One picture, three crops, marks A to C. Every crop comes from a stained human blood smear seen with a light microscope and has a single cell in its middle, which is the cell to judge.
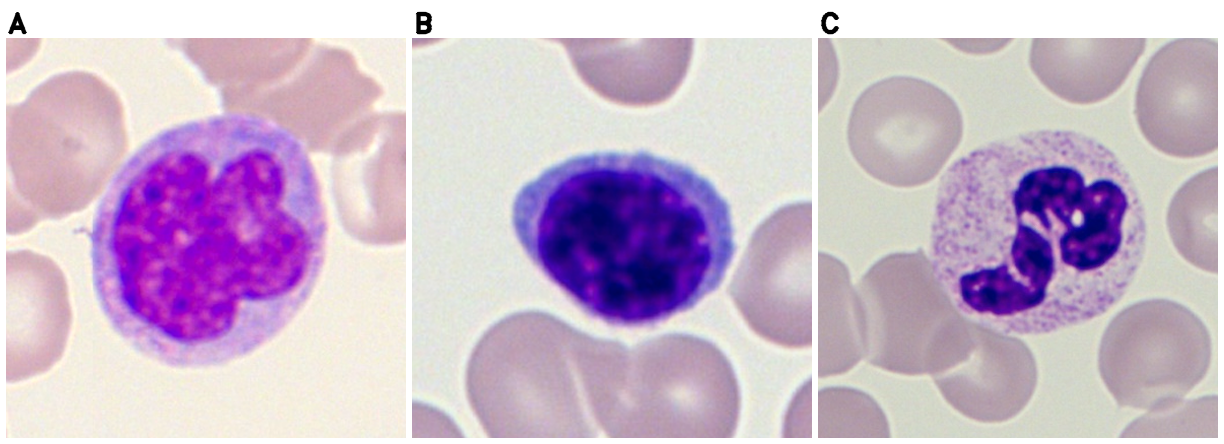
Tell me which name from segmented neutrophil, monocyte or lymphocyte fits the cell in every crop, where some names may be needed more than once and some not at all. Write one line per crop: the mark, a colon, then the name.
A: monocyte
B: lymphocyte
C: segmented neutrophil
